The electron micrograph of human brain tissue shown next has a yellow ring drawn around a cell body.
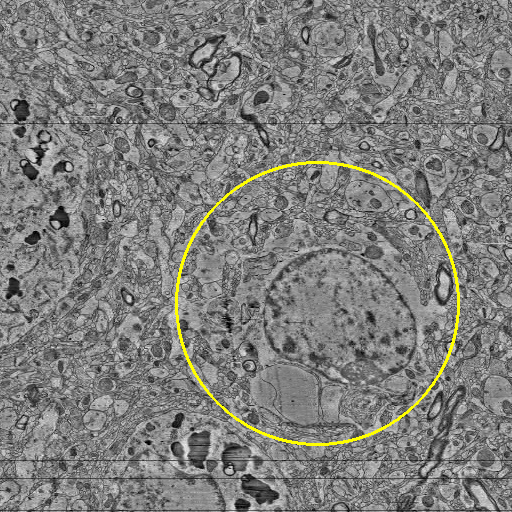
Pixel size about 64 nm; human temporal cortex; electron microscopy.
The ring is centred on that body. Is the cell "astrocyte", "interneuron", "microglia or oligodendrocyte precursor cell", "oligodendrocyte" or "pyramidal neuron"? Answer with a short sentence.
The cell in question is an astrocyte.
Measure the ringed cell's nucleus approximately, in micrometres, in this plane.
In this plane, the nucleus is roughly 10 by 8 micrometres.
